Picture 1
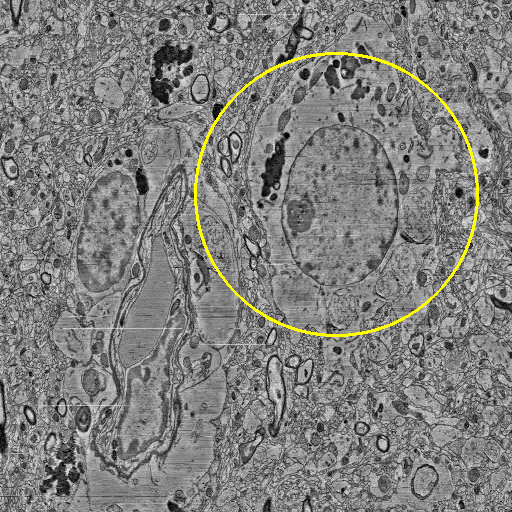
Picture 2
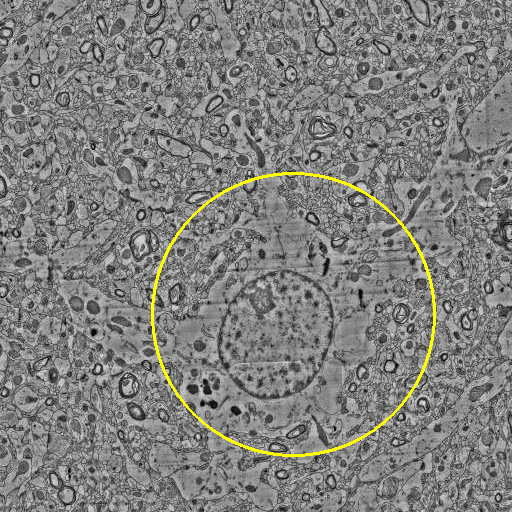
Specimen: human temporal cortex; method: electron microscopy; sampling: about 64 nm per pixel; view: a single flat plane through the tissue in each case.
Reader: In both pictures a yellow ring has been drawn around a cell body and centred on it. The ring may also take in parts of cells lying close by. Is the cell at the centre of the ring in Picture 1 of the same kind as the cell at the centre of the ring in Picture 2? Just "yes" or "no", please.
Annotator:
yes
